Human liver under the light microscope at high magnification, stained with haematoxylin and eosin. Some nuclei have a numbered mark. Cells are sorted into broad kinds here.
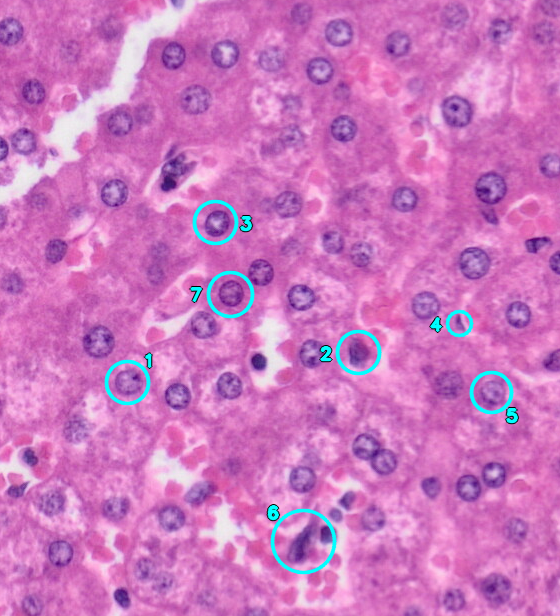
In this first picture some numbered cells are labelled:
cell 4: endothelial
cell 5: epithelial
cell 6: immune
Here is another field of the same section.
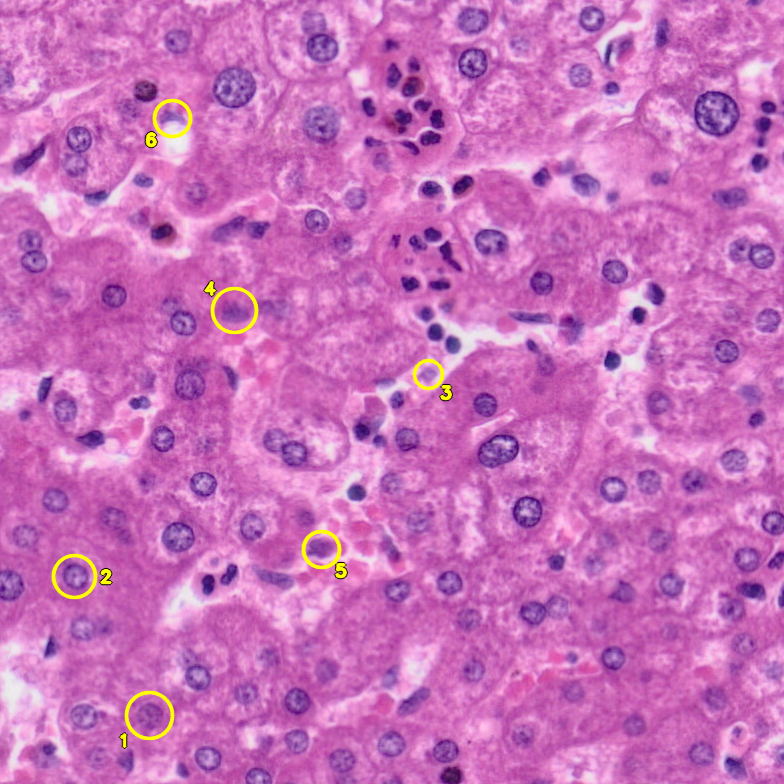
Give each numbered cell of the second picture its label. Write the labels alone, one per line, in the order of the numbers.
epithelial
epithelial
immune
endothelial
endothelial
endothelial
